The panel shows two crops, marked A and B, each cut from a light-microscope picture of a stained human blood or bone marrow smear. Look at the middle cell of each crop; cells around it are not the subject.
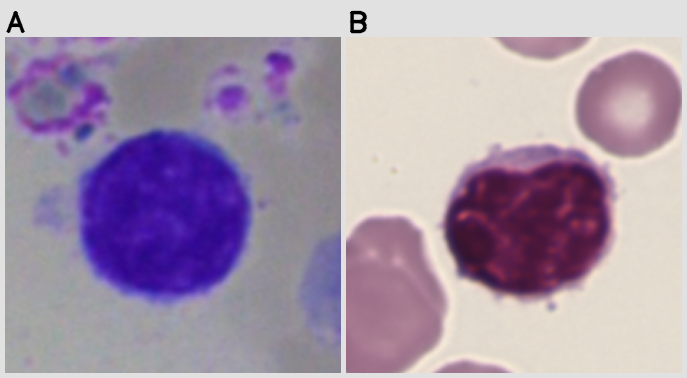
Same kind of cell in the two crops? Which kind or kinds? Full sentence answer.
Yes, both crops show lymphocytes, with no exception.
